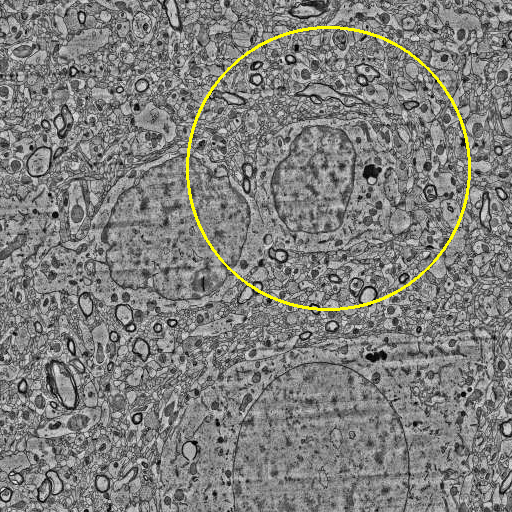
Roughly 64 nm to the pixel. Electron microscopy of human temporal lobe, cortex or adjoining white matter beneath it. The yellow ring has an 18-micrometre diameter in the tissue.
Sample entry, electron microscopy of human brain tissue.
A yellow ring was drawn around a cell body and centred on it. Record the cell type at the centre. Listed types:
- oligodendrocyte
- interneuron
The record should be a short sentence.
The cell at the ring's centre is an interneuron.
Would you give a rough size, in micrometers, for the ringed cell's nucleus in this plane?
In this plane the nucleus measures roughly 8 by 5 micrometers.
